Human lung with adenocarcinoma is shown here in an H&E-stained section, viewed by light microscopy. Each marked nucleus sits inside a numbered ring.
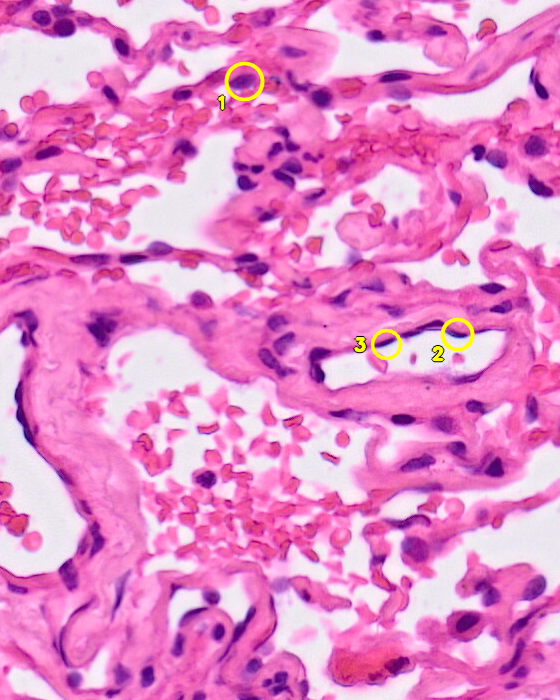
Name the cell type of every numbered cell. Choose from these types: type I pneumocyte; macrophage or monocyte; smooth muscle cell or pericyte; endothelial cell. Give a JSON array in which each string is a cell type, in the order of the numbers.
["type I pneumocyte", "endothelial cell", "endothelial cell"]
